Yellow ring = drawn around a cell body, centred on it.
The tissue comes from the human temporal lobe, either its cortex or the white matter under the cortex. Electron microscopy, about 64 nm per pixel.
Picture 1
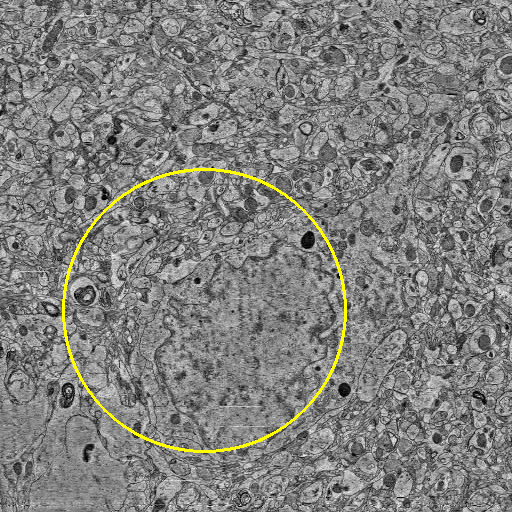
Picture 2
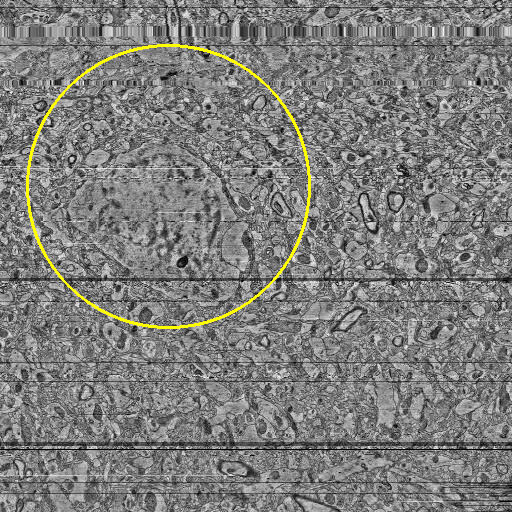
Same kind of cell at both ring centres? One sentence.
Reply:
Yes, they are the same kind of cell.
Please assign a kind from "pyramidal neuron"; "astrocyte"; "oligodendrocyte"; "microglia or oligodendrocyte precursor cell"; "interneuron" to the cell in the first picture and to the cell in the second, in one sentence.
Each of the two pictures has an interneuron at the ring centre.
